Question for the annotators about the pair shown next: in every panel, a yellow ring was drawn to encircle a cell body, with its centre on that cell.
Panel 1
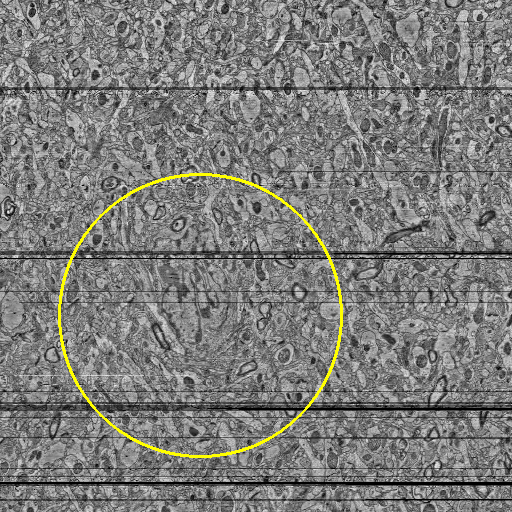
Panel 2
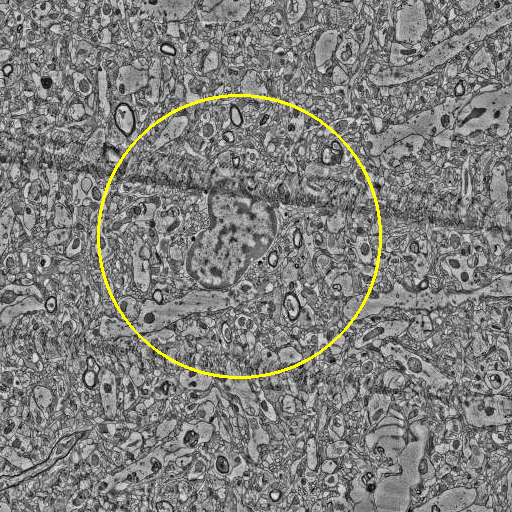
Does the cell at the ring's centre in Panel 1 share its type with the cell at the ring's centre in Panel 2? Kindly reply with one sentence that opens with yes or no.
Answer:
Yes, in Panels 1 and 2 the cells at the ring centres belong to a single type.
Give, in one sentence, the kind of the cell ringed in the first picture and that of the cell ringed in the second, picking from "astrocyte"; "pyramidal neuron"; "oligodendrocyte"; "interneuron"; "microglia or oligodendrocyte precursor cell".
Both pictures show a microglial cell or oligodendrocyte precursor cell at the centre of the ring.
